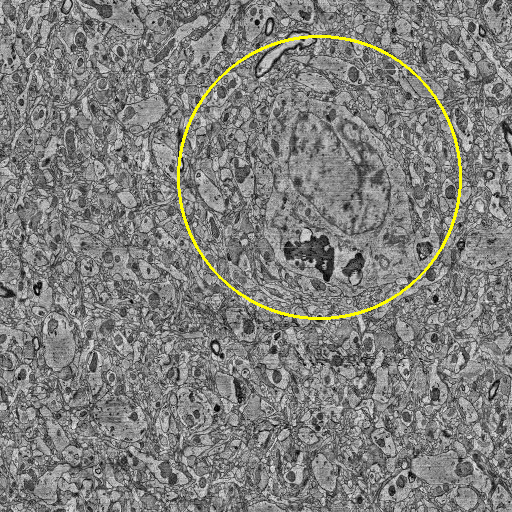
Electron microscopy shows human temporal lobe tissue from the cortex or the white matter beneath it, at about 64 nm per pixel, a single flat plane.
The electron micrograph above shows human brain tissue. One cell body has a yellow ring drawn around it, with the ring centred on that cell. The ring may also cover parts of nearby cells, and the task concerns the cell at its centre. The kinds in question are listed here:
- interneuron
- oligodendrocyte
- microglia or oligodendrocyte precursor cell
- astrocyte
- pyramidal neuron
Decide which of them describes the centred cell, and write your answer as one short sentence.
The centred cell is an interneuron.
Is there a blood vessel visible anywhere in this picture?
No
